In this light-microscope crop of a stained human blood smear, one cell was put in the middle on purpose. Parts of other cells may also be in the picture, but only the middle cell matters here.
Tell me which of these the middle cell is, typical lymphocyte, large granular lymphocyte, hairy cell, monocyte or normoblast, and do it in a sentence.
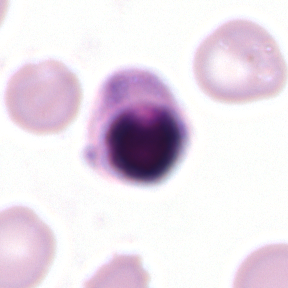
For this crop, the cell in the middle is a normoblast.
